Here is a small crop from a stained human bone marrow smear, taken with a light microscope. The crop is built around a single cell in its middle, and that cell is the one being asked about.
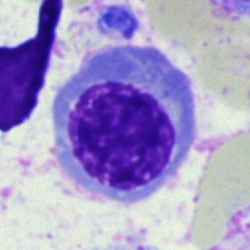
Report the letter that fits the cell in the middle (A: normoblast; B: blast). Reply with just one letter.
A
